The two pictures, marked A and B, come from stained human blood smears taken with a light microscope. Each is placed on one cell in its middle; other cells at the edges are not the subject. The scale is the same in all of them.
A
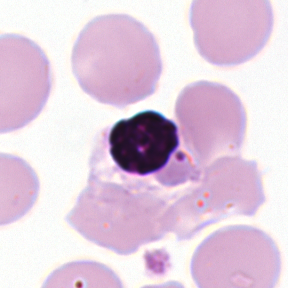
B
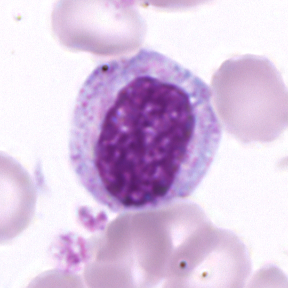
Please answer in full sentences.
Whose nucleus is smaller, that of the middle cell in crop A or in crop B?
Smaller is the nucleus in crop A, and the other is about 3 times as large in area.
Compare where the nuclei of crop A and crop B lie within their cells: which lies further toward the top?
Seen within its cell, the nucleus in crop A lies further toward the top.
